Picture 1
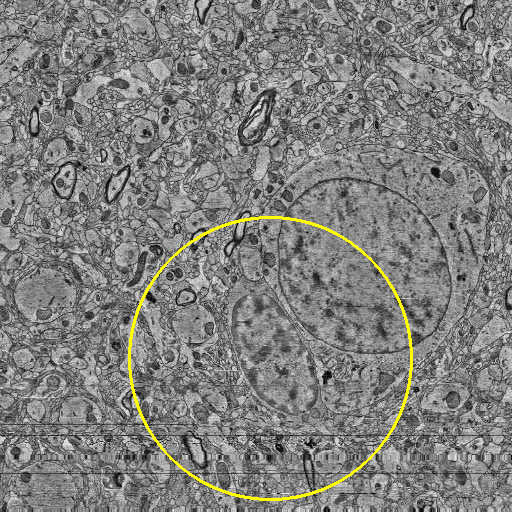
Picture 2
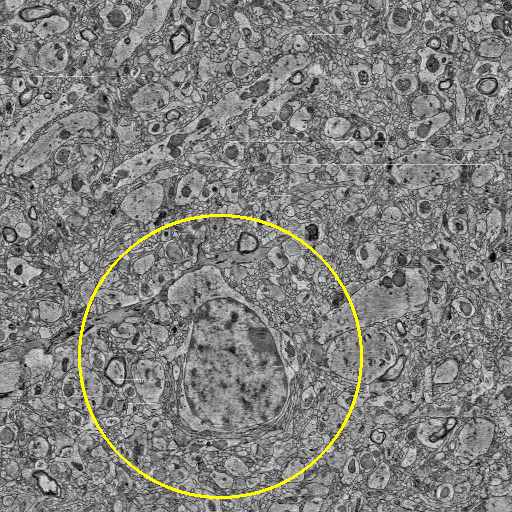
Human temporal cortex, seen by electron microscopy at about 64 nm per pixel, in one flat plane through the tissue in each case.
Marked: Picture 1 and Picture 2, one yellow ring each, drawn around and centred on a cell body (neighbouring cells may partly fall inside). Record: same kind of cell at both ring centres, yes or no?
no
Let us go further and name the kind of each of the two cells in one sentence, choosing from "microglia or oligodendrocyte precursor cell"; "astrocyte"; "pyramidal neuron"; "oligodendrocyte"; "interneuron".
The ring of the first picture is on an oligodendrocyte, the ring of the second on a microglial cell or oligodendrocyte precursor cell.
